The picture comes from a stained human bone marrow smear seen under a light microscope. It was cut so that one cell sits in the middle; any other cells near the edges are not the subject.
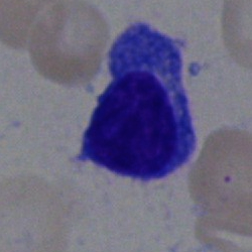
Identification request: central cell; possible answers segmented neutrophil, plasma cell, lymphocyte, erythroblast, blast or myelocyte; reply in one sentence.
Standing at the centre of this crop is a plasma cell.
